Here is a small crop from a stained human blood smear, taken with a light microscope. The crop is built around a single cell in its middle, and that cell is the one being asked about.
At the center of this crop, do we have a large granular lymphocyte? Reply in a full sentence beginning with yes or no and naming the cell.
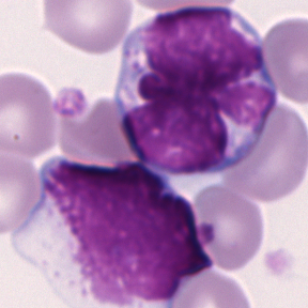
Yes, the centrally placed cell is a large granular lymphocyte.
